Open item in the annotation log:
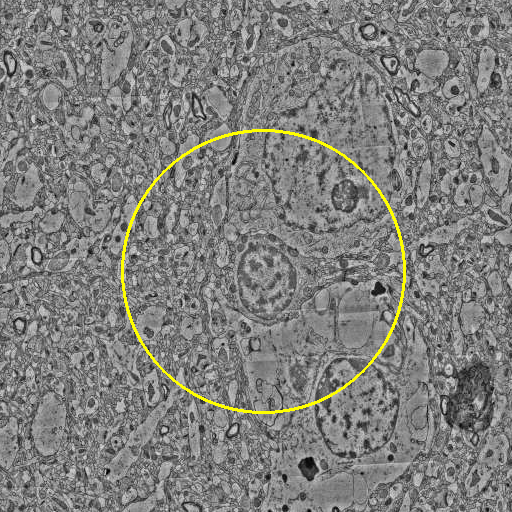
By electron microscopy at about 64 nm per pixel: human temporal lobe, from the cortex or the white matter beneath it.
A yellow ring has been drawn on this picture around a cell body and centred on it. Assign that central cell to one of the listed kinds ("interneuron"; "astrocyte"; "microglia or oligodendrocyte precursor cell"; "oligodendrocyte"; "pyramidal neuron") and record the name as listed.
oligodendrocyte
